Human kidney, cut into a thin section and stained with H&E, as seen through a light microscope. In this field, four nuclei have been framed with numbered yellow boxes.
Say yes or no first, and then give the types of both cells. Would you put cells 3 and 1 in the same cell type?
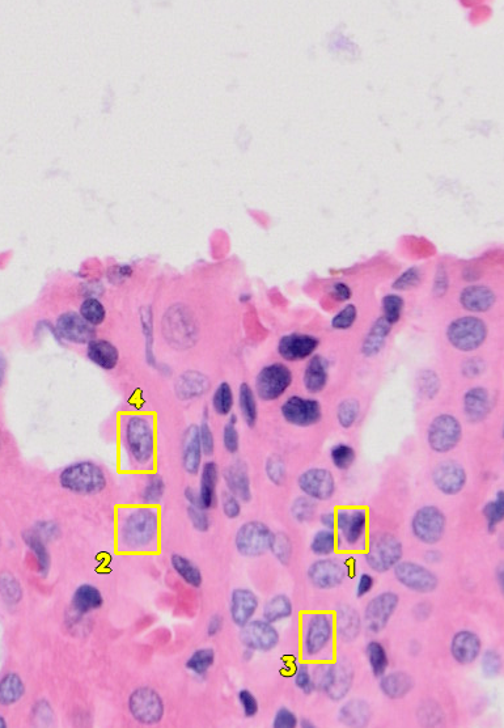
Yes, just like cell 3, cell 1 is one of the collecting duct cells.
